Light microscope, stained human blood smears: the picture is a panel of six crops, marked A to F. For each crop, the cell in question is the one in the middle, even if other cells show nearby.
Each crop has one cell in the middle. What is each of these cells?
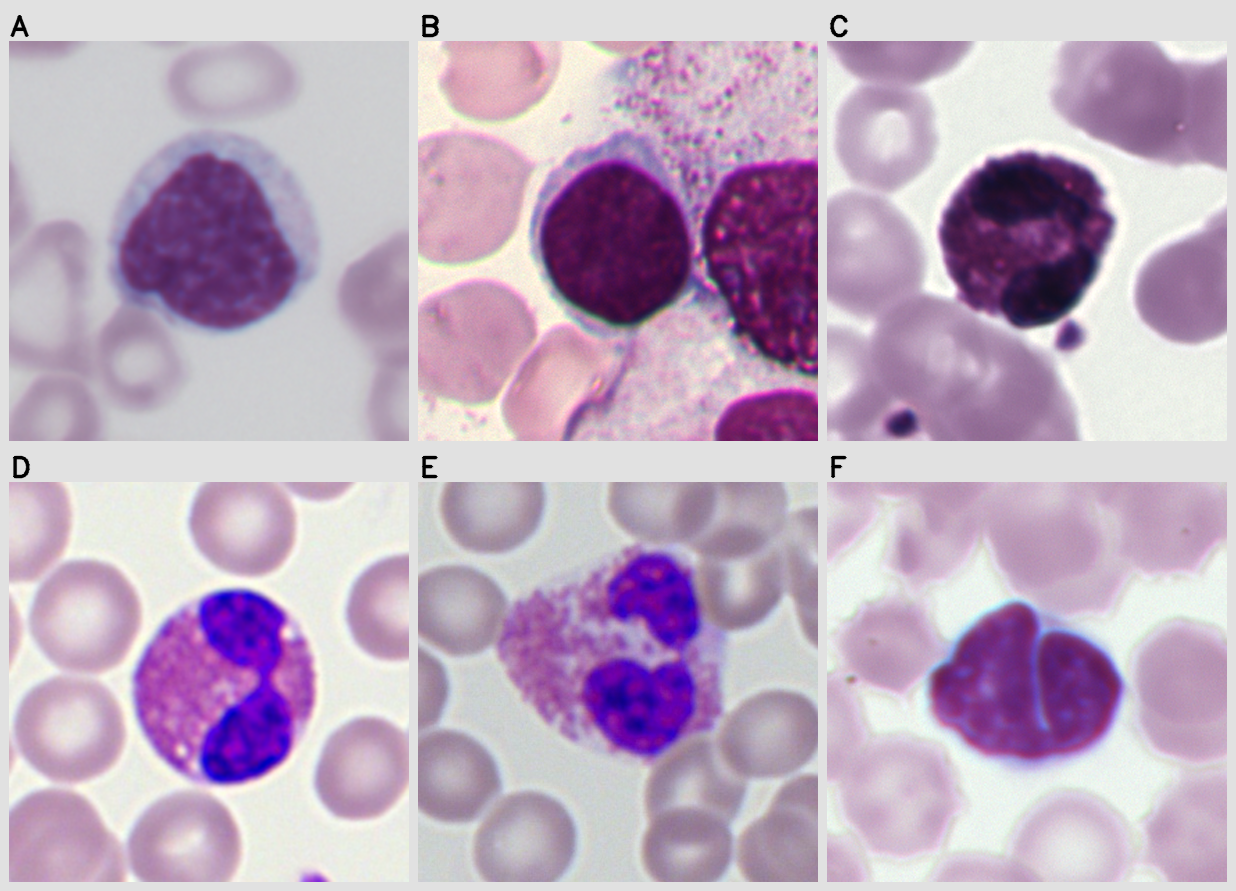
A: lymphocyte
B: lymphocyte
C: eosinophil
D: eosinophil
E: eosinophil
F: lymphocyte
